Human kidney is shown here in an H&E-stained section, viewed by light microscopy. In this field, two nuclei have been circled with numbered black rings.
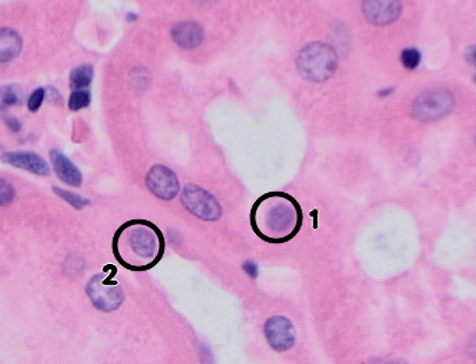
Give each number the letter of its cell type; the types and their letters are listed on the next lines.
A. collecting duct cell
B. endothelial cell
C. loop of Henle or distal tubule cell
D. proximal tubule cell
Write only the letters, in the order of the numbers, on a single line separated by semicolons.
D; C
